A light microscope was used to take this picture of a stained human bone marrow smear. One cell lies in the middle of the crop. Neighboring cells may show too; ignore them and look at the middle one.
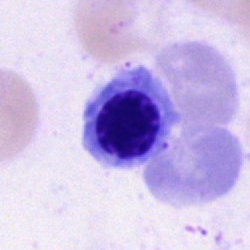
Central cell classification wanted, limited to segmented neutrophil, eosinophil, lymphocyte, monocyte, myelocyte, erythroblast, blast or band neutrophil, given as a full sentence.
To answer, the cell in the center of the crop is an erythroblast.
